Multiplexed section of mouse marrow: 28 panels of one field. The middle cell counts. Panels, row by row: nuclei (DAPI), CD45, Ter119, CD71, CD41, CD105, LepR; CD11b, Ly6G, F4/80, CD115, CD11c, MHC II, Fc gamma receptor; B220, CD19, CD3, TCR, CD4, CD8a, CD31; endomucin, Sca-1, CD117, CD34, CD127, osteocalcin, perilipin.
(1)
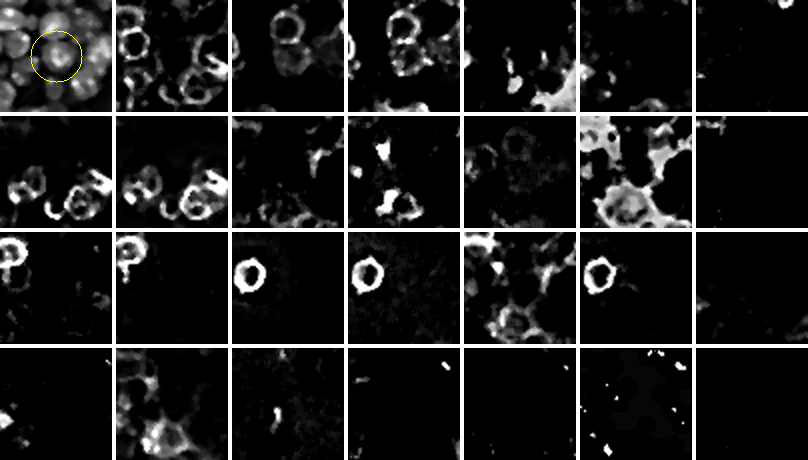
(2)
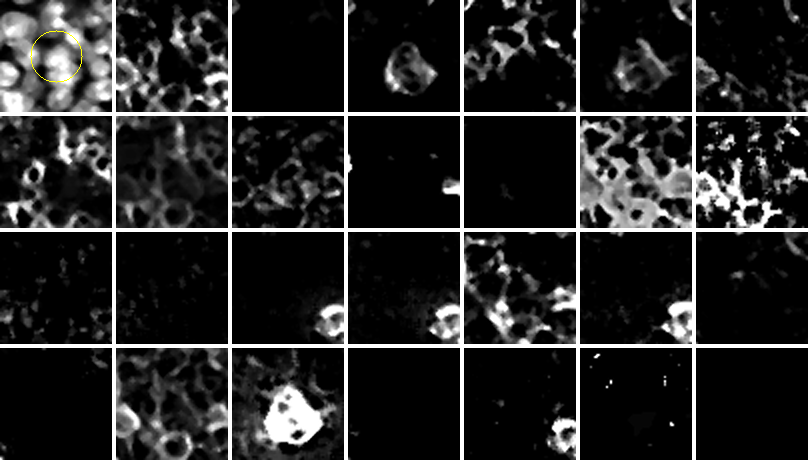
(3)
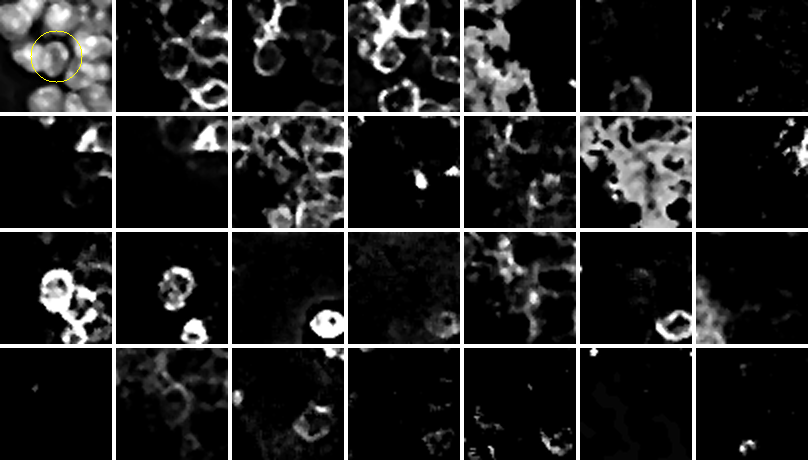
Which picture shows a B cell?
Picture 3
